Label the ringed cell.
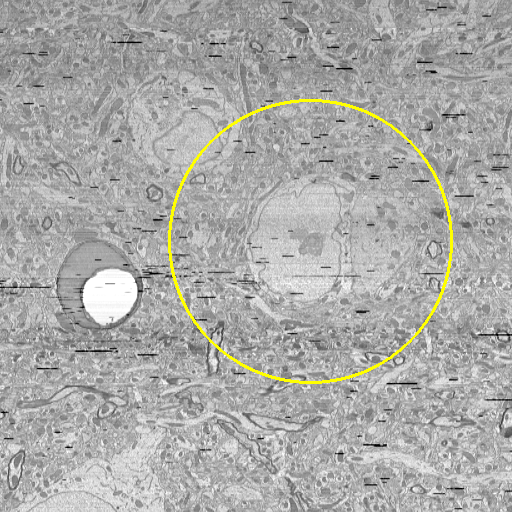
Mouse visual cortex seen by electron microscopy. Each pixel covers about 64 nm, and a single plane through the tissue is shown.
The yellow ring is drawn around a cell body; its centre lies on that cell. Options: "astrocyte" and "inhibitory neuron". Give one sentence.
The ringed cell is an inhibitory neuron.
